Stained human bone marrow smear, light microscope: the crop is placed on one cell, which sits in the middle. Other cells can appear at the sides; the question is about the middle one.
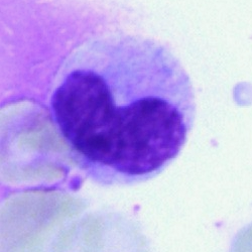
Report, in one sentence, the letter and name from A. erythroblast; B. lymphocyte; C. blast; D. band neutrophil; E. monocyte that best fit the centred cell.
As the central cell is a band neutrophil, option D is correct.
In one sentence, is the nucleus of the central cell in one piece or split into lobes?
The nucleus holds together as a single compact mass, round, oval or kidney-like.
